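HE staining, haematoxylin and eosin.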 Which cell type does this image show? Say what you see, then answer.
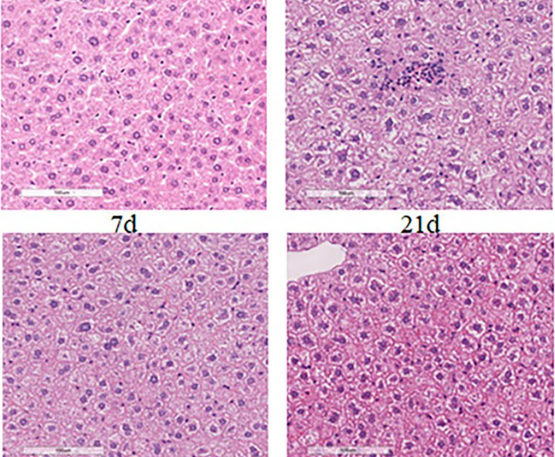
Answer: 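Large polygonal cells with pink cytoplasm fill the fields. Each cell has a round, centrally placed purple nucleus. The cells lie packed side by side in sheets with narrow spaces between them. On this evidence: hepatocytes.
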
